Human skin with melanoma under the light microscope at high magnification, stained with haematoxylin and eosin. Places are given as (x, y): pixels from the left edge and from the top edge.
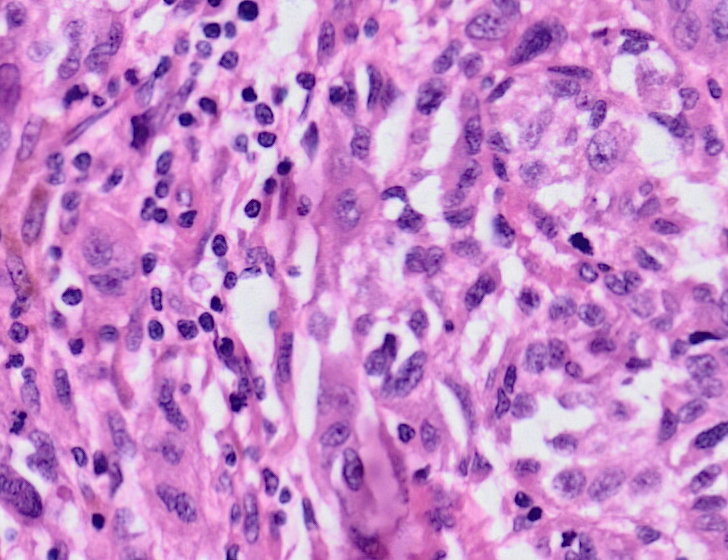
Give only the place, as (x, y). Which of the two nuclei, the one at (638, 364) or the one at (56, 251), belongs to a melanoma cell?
(638, 364)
